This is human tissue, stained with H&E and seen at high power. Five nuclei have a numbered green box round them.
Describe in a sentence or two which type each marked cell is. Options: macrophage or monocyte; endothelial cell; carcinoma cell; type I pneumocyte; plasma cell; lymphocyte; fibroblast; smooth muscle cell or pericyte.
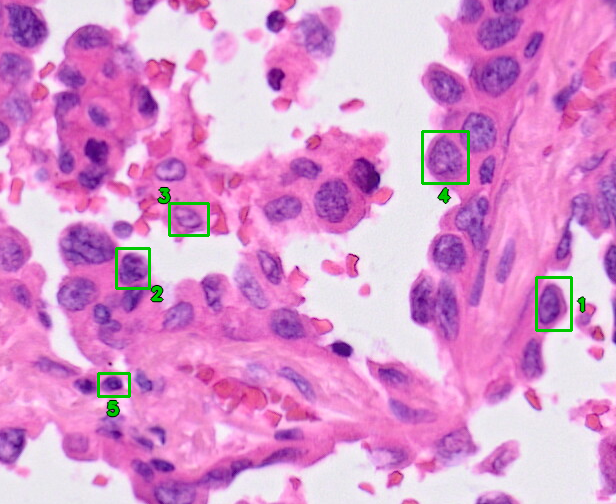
Cells 1, 2 and 4 are carcinoma cells. Cell 3 is a macrophage or monocyte. Cell 5 is a lymphocyte.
